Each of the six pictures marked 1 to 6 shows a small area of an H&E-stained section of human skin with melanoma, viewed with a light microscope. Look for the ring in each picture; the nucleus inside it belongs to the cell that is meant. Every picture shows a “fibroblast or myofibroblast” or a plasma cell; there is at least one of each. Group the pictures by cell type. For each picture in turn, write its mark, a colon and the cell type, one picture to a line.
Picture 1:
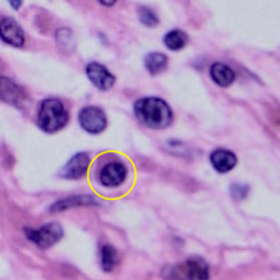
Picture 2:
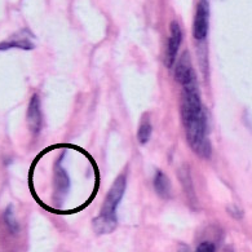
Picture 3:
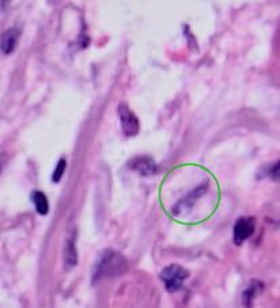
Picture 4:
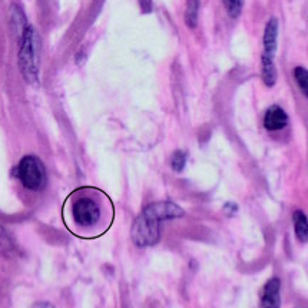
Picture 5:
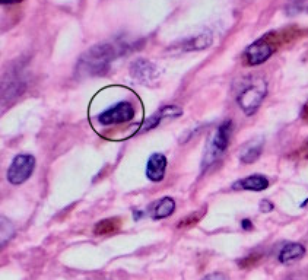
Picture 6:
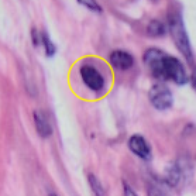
1: plasma cell
2: fibroblast or myofibroblast
3: fibroblast or myofibroblast
4: plasma cell
5: plasma cell
6: plasma cell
